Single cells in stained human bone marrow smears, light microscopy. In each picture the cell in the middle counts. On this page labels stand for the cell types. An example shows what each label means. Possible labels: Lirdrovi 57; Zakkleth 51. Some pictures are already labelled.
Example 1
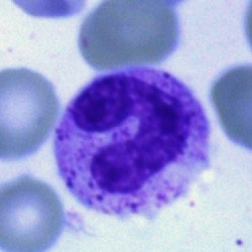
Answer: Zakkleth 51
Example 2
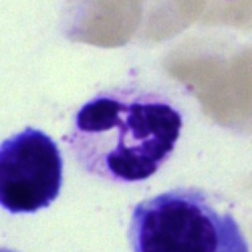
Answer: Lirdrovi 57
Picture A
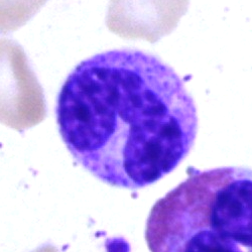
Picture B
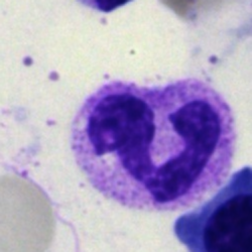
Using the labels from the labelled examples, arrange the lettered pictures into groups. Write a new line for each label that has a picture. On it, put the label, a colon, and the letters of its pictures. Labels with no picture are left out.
Lirdrovi 57: B
Zakkleth 51: A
